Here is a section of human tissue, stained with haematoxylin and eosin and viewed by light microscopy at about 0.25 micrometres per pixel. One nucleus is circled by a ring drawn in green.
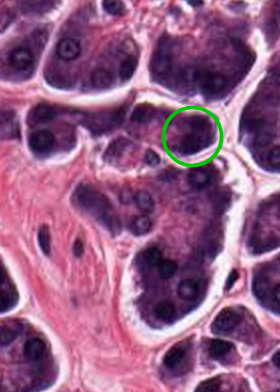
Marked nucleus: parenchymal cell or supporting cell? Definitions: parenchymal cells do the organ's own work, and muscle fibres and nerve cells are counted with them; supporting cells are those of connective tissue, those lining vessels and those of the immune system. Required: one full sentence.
The marked nucleus is part of the parenchyma, belonging to a pancreatic acinar cell.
